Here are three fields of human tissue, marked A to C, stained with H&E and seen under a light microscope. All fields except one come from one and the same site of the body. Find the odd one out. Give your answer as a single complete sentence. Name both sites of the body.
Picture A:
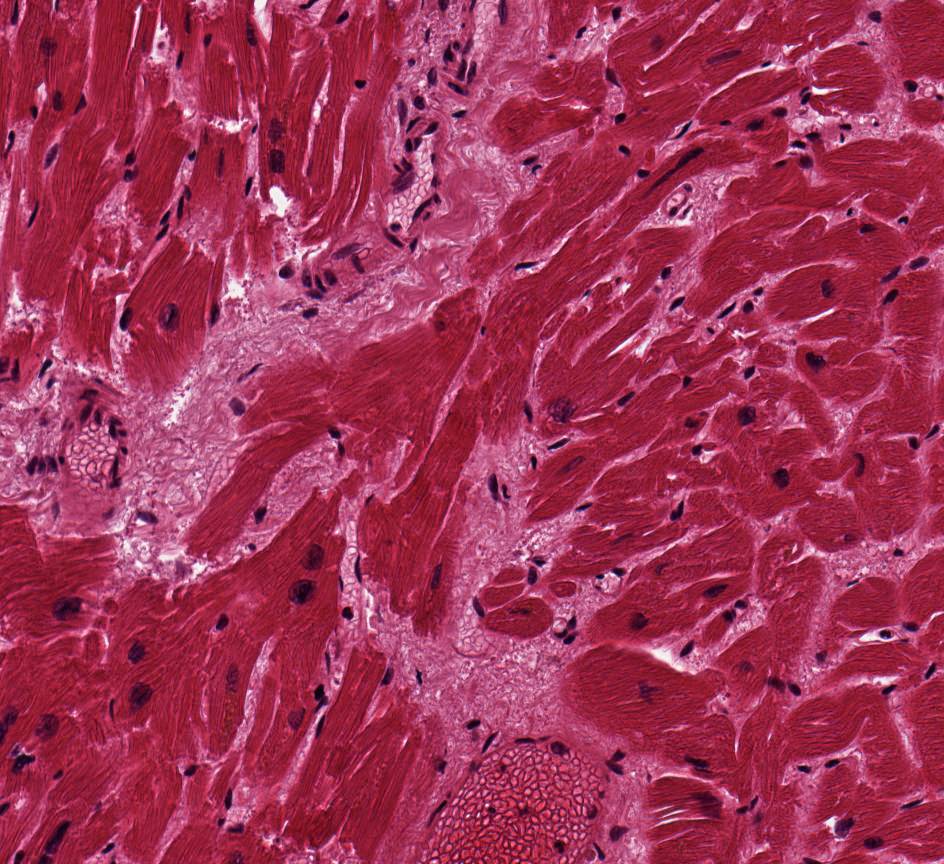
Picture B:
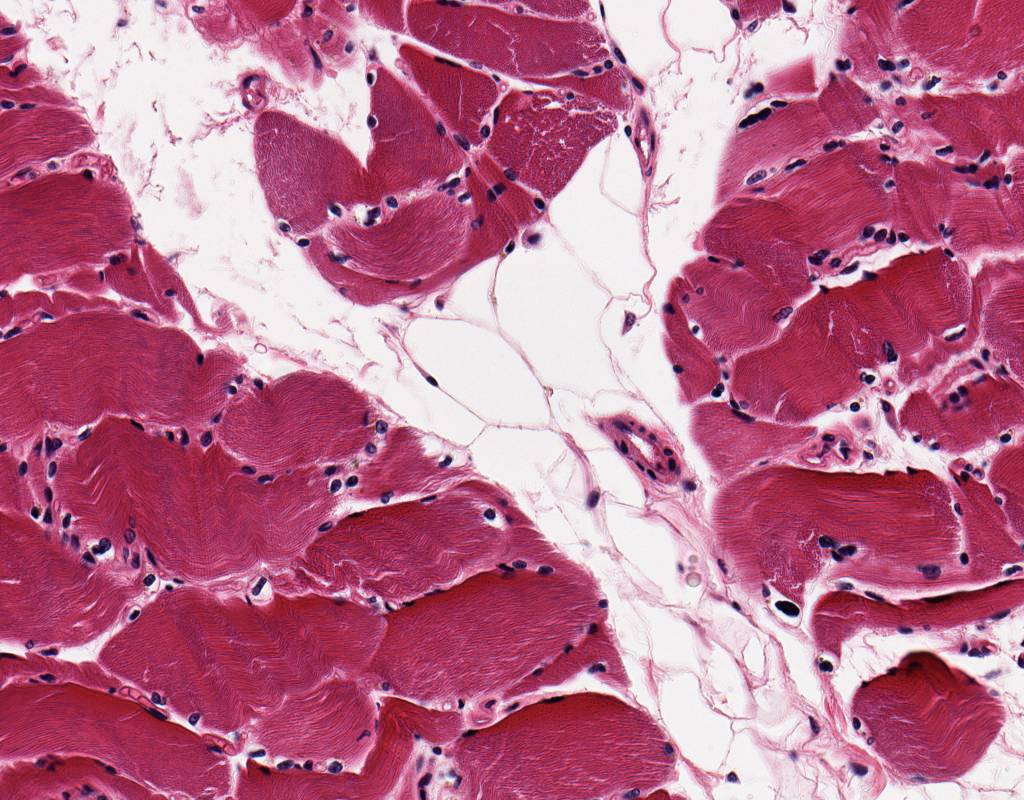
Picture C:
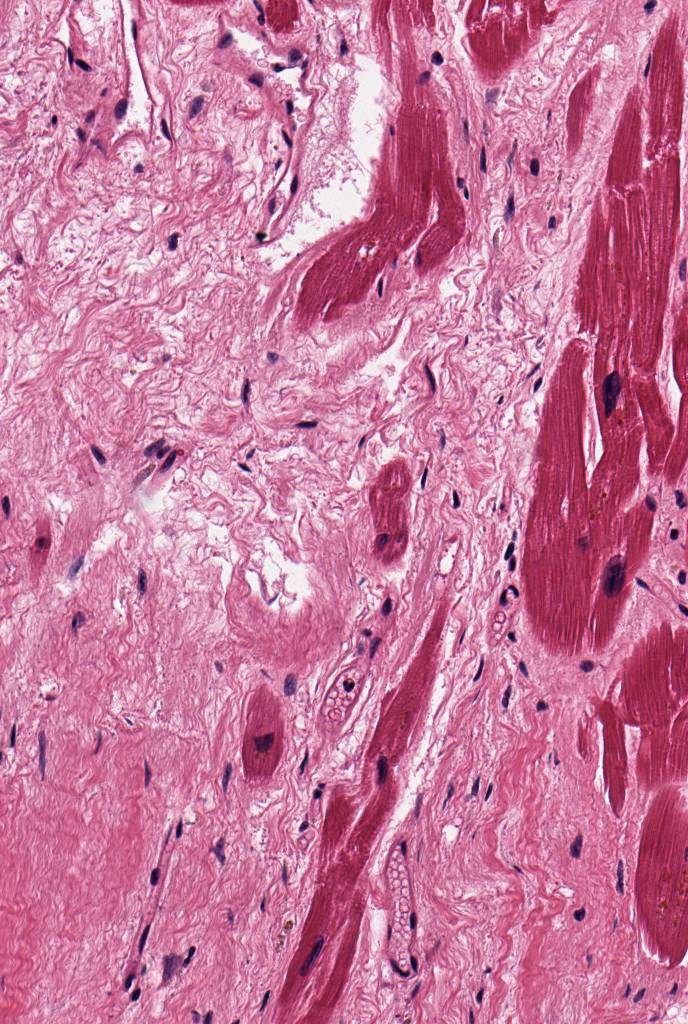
Unlike the rest, which come from the left ventricle of the heart, picture B comes from skeletal muscle.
